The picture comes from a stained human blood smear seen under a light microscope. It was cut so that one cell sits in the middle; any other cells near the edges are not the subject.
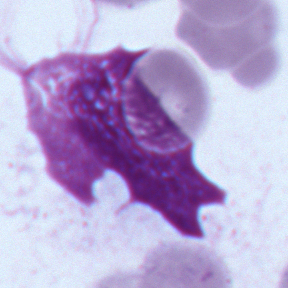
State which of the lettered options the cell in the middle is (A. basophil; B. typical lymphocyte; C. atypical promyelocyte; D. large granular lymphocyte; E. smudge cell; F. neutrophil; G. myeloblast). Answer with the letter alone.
E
